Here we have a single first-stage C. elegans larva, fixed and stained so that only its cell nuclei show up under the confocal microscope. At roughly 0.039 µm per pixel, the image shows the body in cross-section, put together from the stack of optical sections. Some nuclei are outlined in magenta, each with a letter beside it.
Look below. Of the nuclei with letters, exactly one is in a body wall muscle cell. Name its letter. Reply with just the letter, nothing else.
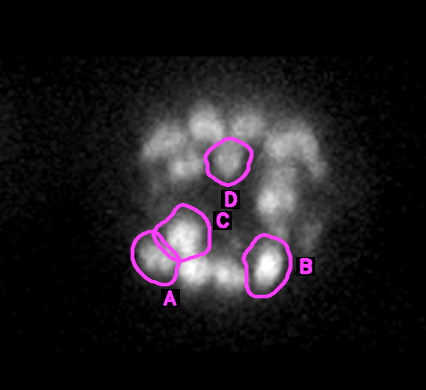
A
